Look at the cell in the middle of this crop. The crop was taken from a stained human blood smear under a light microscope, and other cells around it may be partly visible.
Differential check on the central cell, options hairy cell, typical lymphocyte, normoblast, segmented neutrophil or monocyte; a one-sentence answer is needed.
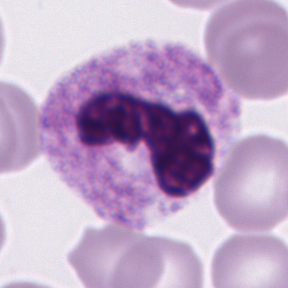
What sits at the centre of this crop is a segmented neutrophil.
